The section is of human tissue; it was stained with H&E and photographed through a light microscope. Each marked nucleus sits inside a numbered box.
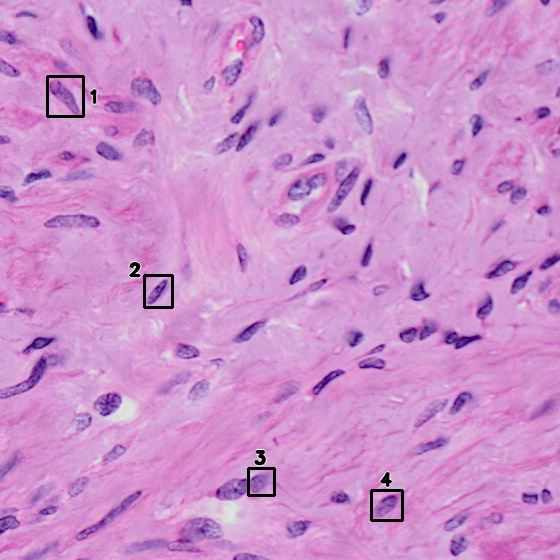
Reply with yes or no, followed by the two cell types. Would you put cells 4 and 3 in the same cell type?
No, cell 4 is a smooth muscle cell, and as for cell 3, it is a fibroblast.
